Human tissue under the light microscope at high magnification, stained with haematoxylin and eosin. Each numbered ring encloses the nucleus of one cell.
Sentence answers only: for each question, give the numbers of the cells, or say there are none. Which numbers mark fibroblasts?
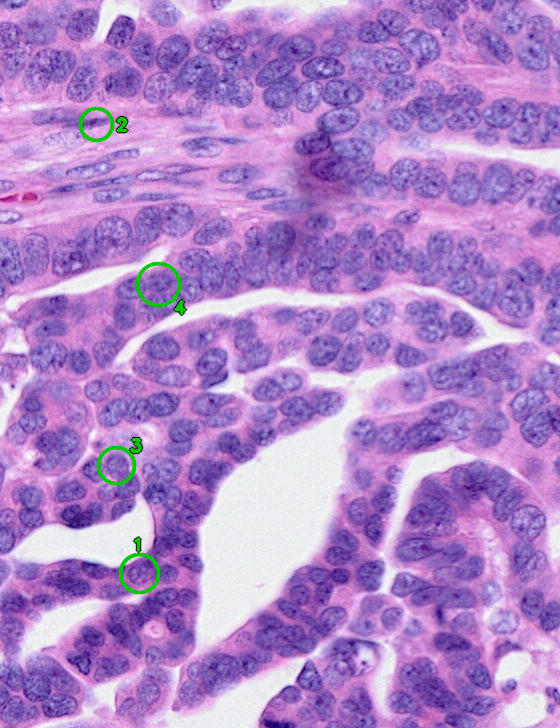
Only one choice fits: cell 2 is a fibroblast, and no other.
